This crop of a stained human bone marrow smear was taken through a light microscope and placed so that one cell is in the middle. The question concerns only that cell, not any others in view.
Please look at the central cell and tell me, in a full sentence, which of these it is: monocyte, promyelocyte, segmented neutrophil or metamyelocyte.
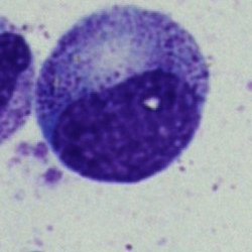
The middle of this crop is occupied by a metamyelocyte.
